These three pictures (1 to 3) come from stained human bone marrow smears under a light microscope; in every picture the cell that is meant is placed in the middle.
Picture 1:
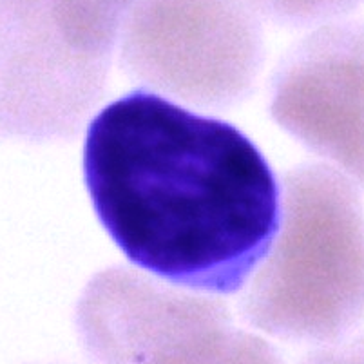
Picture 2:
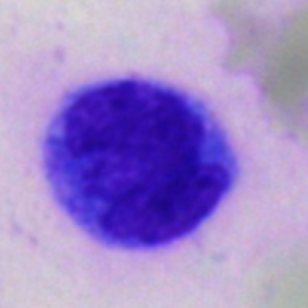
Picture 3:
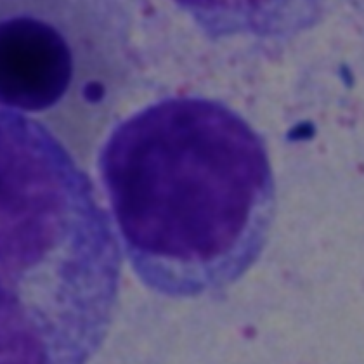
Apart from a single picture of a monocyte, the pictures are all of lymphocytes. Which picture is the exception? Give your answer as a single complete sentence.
The cell in picture 2 is the monocyte.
